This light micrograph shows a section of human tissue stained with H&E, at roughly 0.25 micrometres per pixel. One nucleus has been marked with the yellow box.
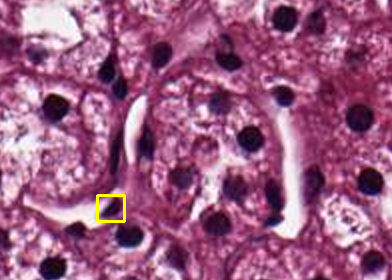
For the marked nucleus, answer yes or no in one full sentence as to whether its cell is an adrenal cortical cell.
No, the nucleus that is marked belongs to a supporting cell rather than to an adrenal cortical cell.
